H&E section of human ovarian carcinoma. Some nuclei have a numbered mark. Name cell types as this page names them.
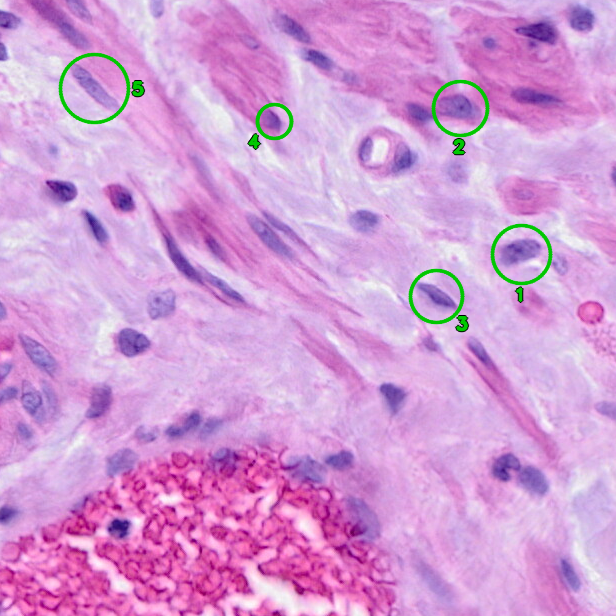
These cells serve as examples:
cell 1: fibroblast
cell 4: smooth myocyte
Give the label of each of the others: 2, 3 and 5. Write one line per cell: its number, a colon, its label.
2: smooth myocyte
3: fibroblast
5: smooth myocyte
